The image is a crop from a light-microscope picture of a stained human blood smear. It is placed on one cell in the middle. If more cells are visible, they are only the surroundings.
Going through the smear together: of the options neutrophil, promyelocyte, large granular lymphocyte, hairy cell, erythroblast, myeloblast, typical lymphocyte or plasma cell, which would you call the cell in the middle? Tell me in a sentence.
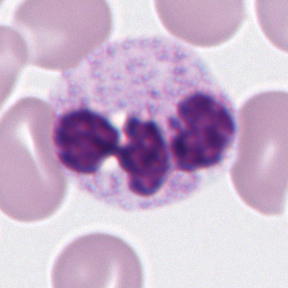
The cell occupying the middle of the crop is a neutrophil.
